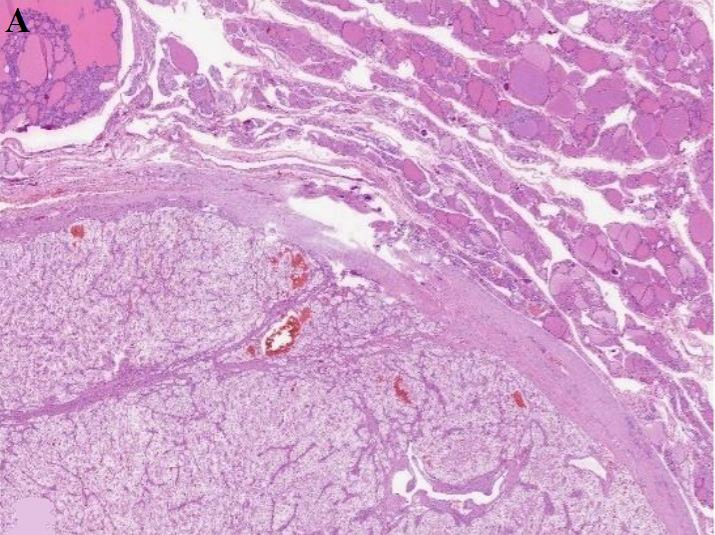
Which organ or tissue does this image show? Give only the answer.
Thyroid parenchyma.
